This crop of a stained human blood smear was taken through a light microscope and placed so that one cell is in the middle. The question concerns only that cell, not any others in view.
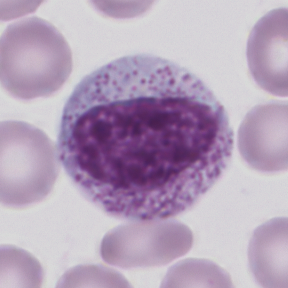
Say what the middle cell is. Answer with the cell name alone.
metamyelocyte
